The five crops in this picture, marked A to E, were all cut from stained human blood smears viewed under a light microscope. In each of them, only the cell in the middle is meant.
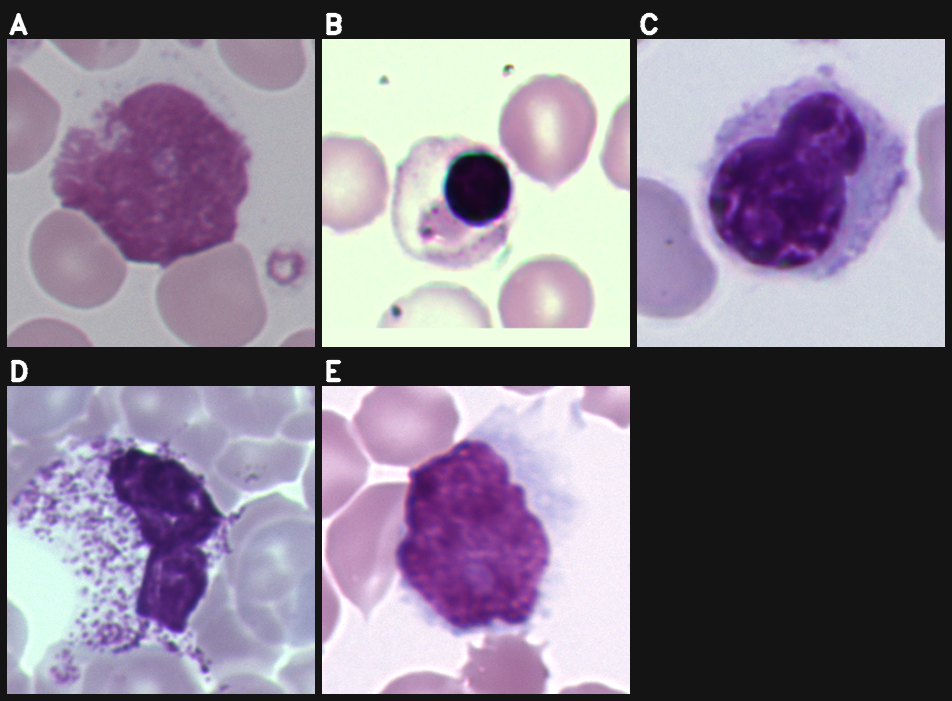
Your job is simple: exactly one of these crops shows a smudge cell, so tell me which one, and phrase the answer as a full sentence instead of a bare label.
The crop showing a smudge cell in this series is crop A.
